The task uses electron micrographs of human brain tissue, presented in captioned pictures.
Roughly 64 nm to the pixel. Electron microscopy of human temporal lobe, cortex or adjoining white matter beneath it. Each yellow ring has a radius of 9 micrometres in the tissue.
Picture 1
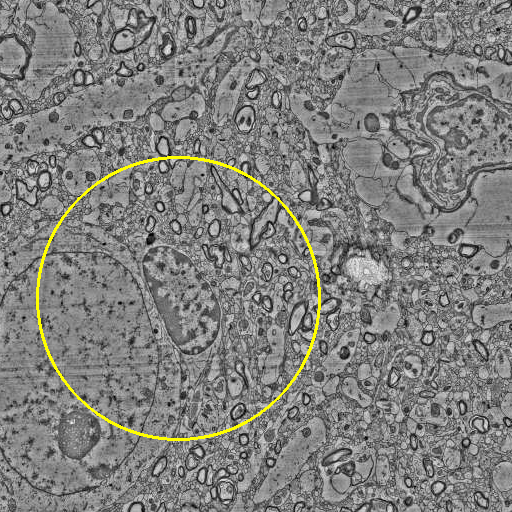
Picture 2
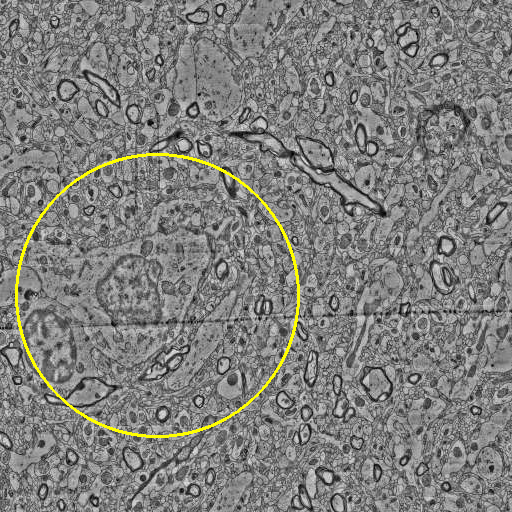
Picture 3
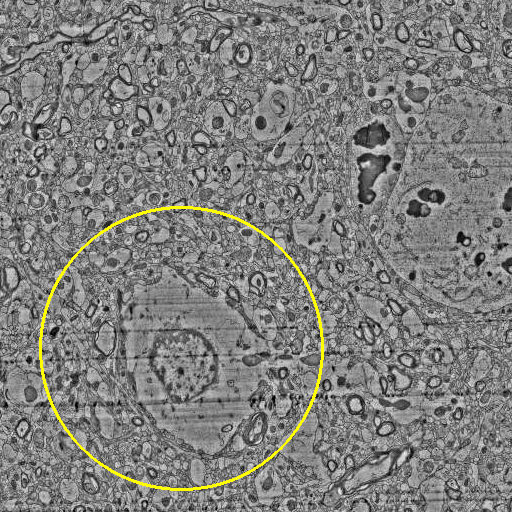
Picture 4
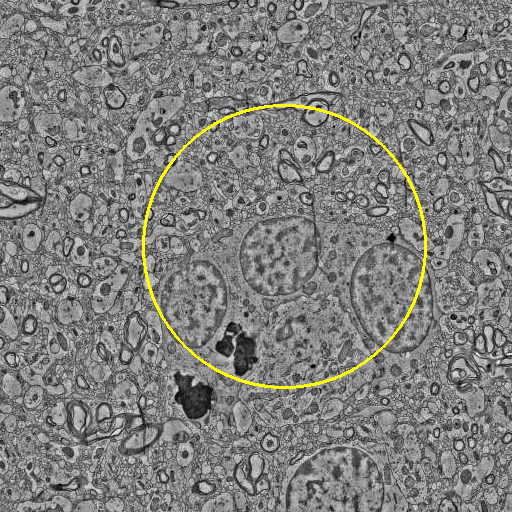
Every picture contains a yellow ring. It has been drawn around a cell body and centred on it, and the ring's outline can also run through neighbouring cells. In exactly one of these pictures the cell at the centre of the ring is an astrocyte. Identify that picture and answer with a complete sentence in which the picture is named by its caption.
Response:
The ring in Picture 3 is centred on that kind of cell.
